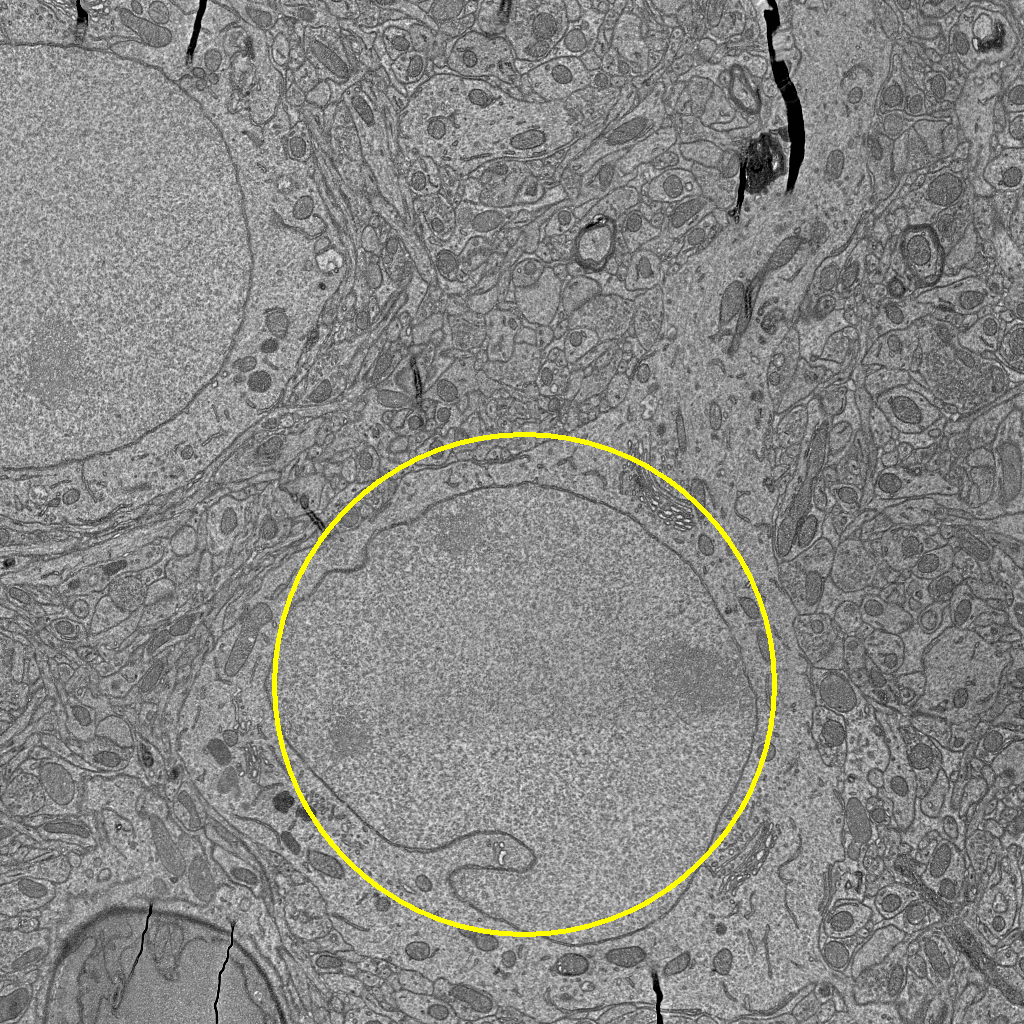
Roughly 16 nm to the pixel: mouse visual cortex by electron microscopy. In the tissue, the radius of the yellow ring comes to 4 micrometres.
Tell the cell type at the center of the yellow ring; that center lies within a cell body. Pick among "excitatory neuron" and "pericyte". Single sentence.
The ring's center lies in the body of an excitatory neuron.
